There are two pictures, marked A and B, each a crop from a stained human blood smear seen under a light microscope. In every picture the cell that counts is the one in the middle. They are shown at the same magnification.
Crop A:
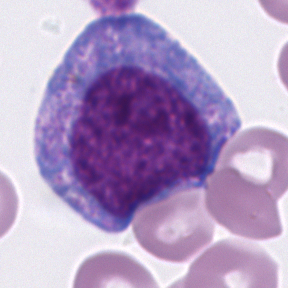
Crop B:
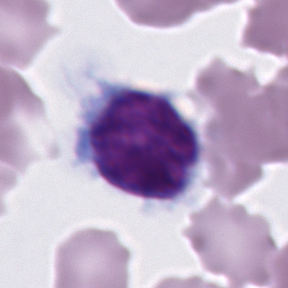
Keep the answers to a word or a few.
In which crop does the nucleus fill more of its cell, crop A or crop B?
B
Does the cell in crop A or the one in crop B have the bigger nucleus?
A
